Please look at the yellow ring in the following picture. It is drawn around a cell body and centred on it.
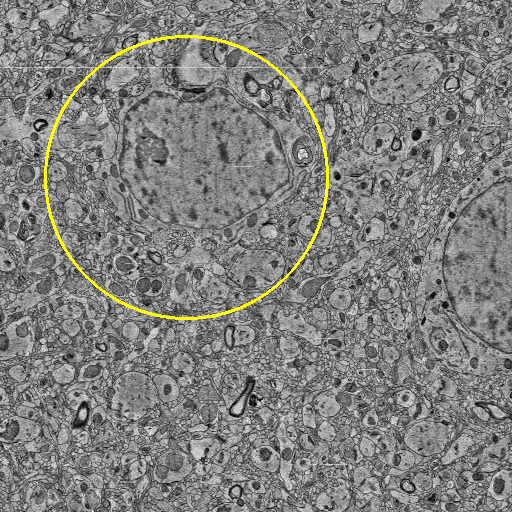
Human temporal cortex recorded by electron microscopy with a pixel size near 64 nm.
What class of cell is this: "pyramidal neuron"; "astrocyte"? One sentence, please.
The ring surrounds the cell body of an astrocyte.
